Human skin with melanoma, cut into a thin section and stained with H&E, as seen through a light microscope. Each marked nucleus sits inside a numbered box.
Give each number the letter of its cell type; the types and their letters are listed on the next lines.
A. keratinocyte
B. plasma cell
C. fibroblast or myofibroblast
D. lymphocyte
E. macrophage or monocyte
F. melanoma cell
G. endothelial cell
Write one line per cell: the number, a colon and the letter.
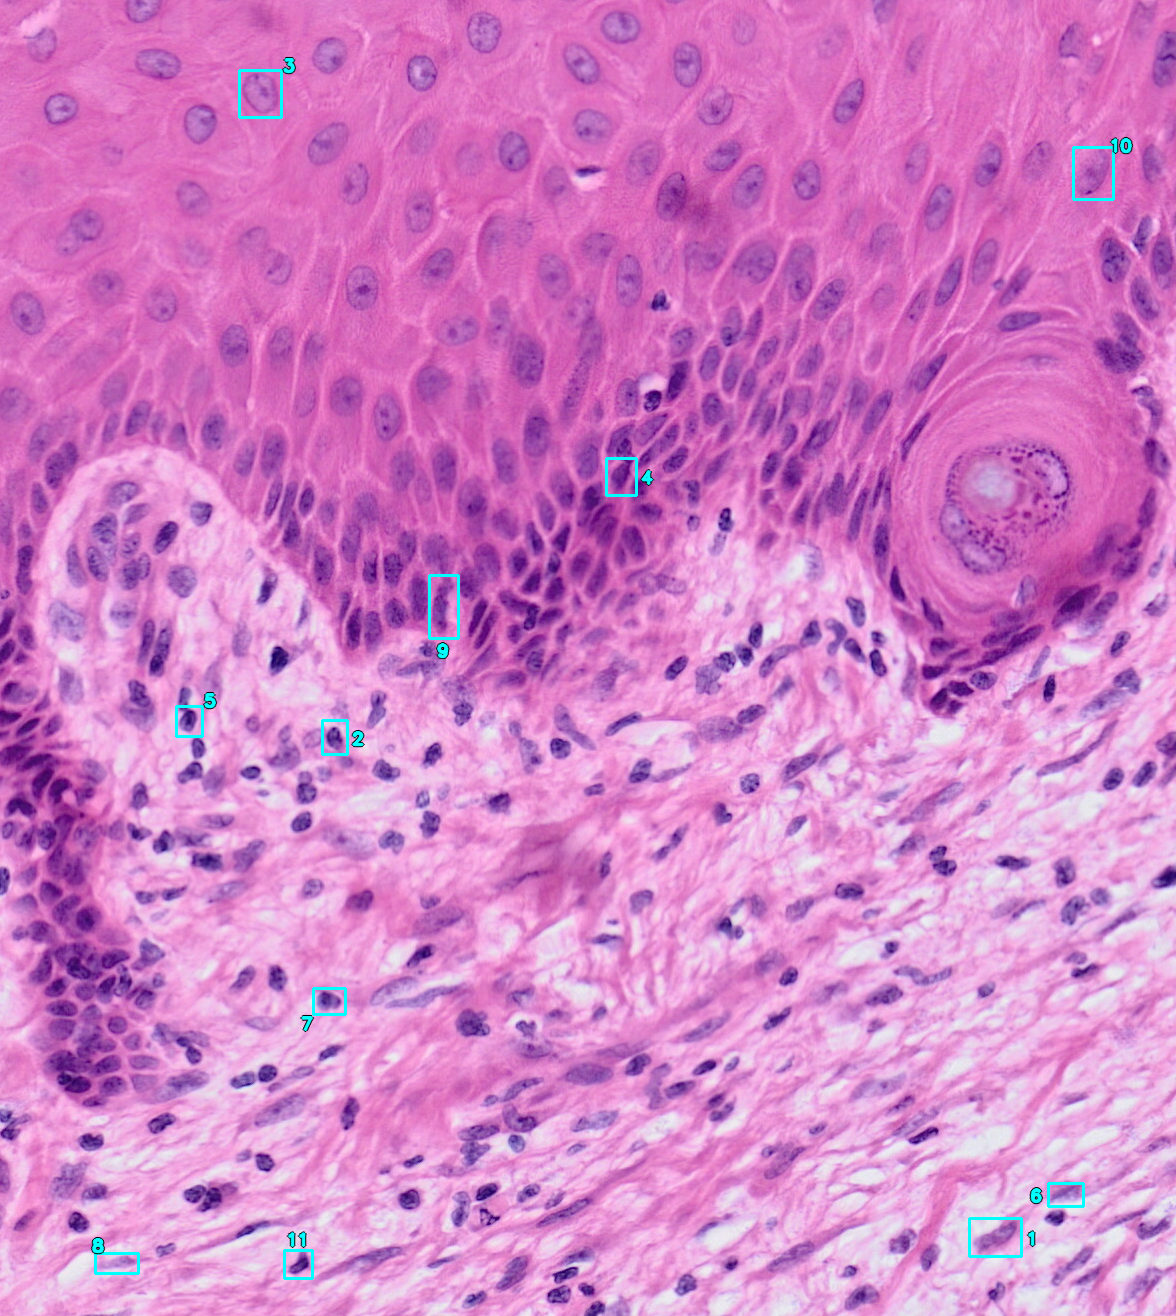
1: C
2: D
3: A
4: A
5: D
6: C
7: D
8: C
9: A
10: A
11: D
